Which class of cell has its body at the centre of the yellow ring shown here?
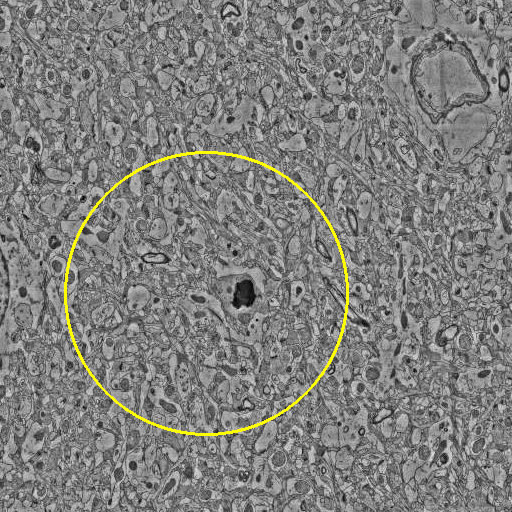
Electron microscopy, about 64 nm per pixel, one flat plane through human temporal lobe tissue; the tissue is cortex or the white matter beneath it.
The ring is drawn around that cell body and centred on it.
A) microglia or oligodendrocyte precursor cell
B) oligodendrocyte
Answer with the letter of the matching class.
B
